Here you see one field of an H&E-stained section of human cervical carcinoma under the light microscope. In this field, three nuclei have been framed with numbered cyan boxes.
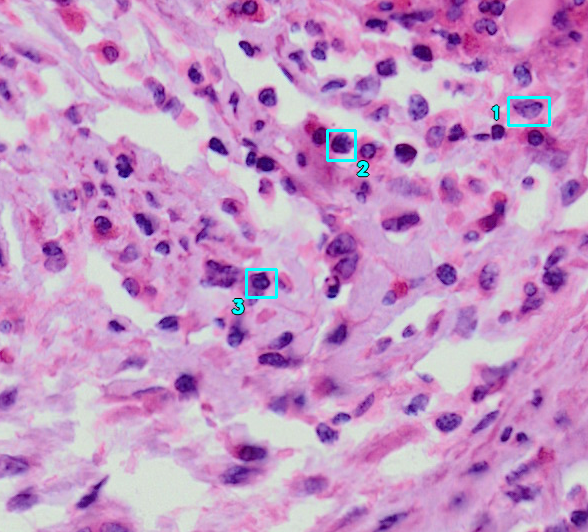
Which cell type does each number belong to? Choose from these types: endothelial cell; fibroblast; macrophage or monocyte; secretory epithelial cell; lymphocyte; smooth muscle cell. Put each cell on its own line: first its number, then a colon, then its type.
1: macrophage or monocyte
2: lymphocyte
3: lymphocyte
